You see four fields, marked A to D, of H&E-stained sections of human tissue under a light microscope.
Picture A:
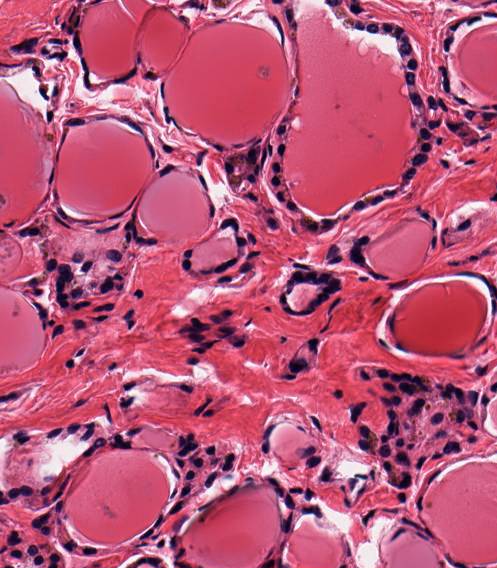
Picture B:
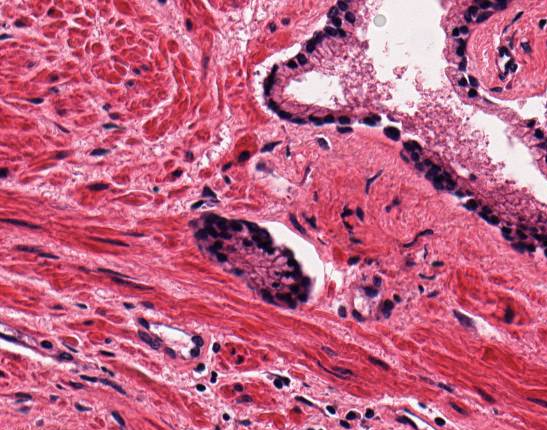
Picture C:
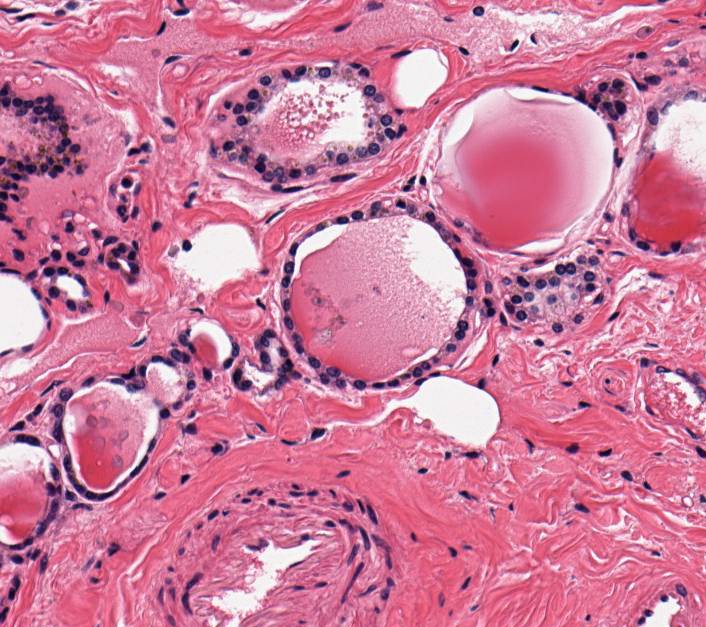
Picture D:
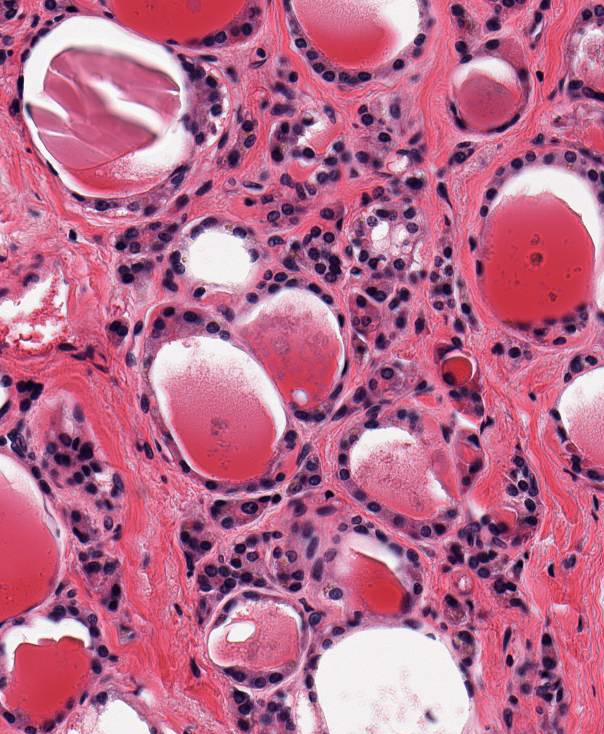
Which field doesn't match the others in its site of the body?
B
